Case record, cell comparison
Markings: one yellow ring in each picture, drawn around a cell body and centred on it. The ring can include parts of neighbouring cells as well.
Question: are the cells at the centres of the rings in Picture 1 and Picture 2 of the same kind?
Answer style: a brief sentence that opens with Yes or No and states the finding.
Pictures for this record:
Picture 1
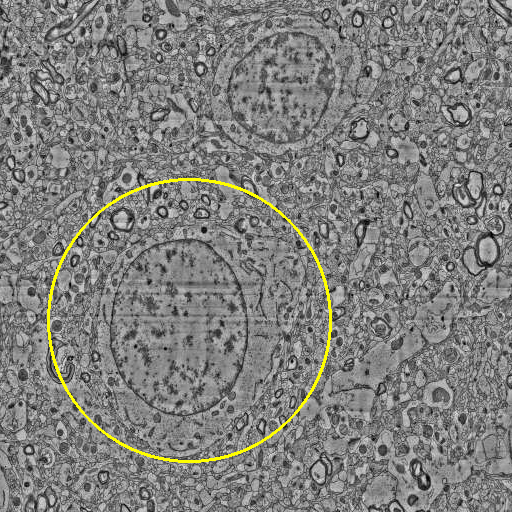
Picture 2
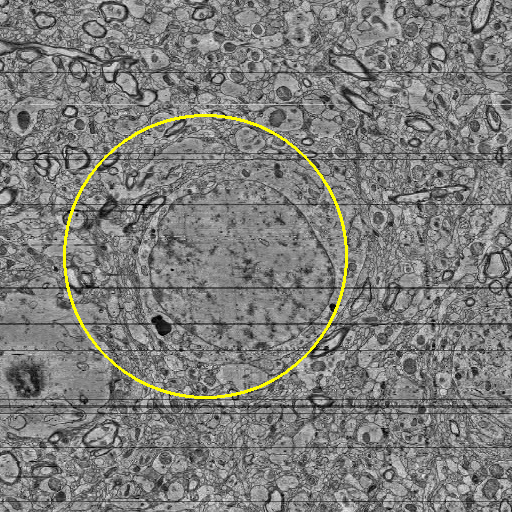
Yes, the cells in Picture 1 and Picture 2 are of the same kind.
